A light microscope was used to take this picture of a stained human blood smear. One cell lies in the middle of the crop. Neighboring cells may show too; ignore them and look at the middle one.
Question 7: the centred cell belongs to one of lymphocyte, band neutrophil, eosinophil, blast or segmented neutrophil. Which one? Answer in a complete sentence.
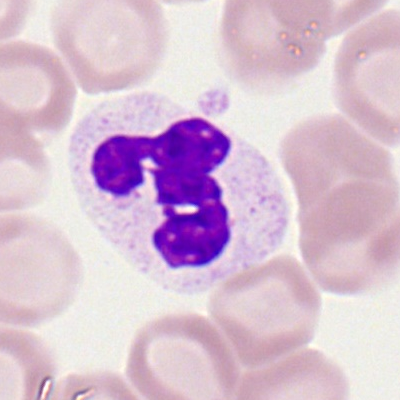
The centered cell in this crop is a segmented neutrophil.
